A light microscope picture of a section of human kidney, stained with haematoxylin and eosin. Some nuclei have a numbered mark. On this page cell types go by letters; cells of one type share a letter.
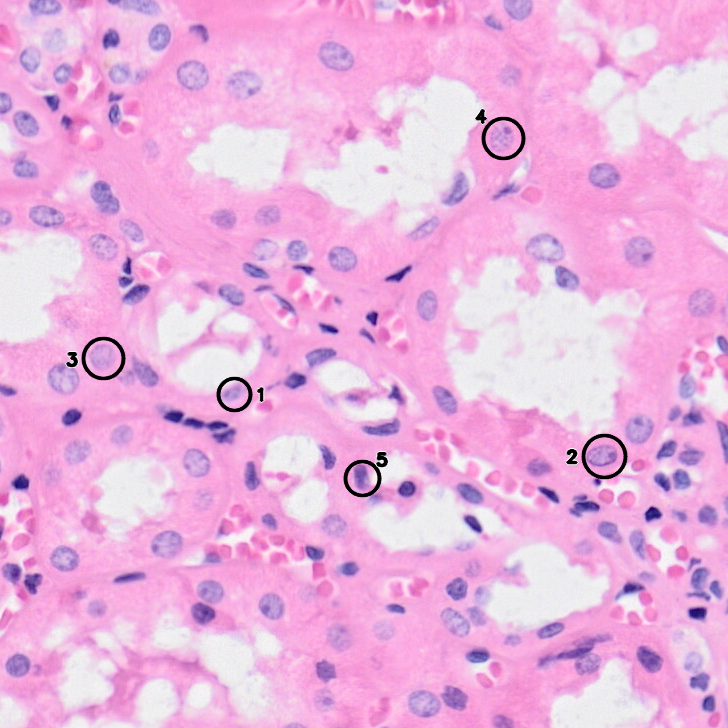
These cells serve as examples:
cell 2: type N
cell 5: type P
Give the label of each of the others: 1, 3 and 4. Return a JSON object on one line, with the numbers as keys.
{"1": "type P", "3": "type N", "4": "type N"}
